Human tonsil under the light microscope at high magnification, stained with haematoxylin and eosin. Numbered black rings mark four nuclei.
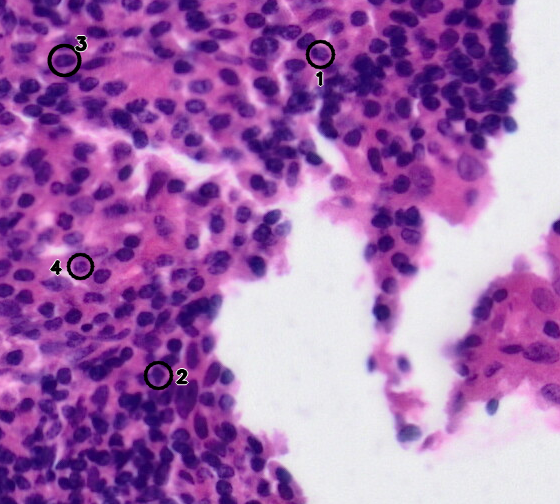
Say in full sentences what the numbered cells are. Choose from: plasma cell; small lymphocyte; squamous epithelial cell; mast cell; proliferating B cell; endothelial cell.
Cells 1, 3 and 4 are plasma cells. Cell 2 is a small lymphocyte.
